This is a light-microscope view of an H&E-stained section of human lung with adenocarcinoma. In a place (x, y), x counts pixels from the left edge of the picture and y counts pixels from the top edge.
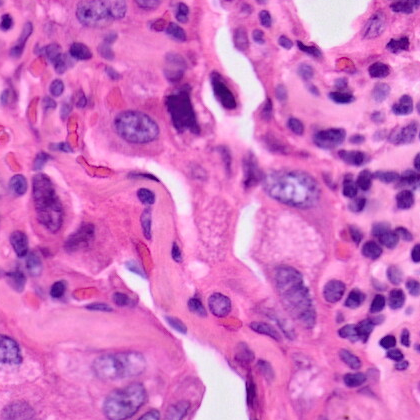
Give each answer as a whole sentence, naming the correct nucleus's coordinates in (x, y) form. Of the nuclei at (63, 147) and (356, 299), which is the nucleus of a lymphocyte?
Of the two, the nucleus at (356, 299) is the one contained in a lymphocyte.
